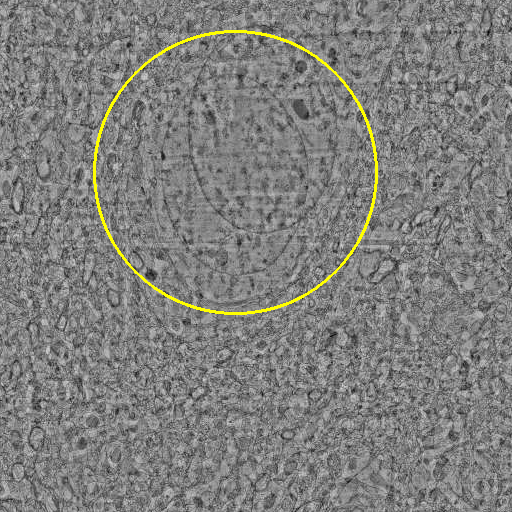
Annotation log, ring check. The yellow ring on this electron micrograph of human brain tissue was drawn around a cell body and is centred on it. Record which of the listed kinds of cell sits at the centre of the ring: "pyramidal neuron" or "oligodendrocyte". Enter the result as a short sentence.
The cell at the centre of the ring is a pyramidal neuron.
